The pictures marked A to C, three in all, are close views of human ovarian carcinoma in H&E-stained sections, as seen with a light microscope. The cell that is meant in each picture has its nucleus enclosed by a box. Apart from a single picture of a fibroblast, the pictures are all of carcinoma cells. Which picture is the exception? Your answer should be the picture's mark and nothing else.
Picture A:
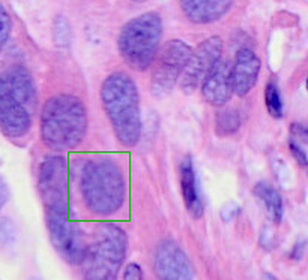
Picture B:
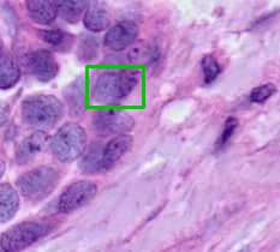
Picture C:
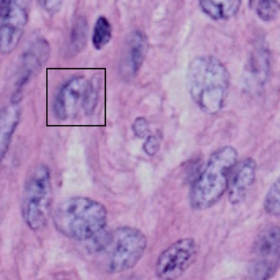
C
